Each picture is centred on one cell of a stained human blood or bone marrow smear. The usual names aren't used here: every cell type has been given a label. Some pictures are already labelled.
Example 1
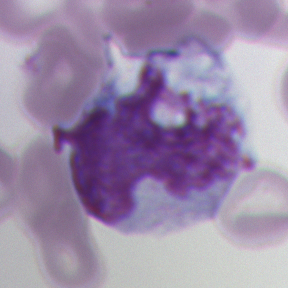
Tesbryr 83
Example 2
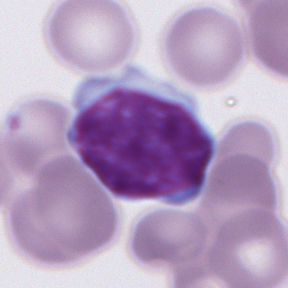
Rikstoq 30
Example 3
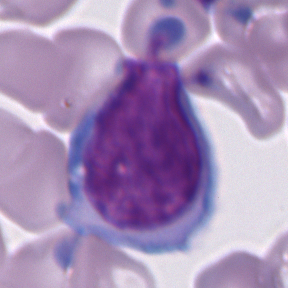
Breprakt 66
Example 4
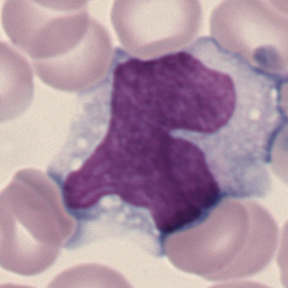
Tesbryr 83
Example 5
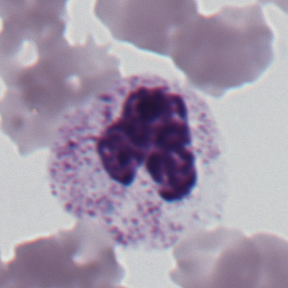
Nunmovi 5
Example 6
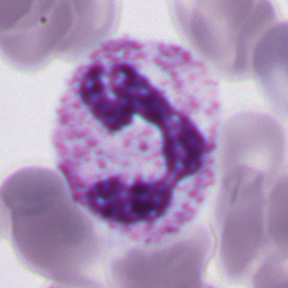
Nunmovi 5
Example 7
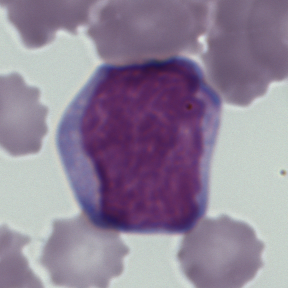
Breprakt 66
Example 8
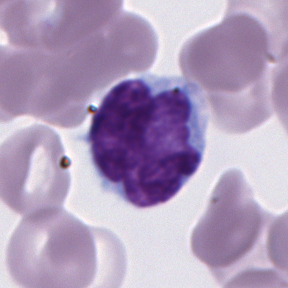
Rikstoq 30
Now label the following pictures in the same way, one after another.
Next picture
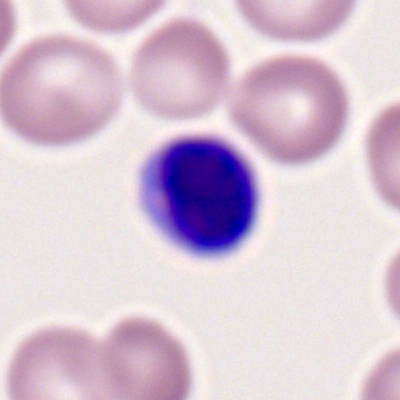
Rikstoq 30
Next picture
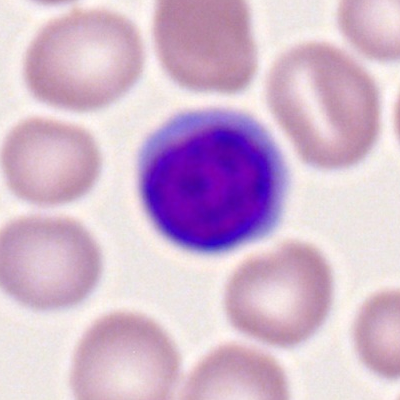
Rikstoq 30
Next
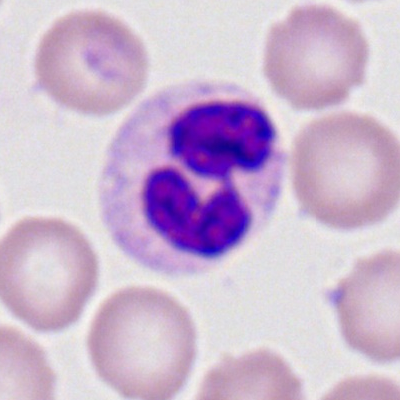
Nunmovi 5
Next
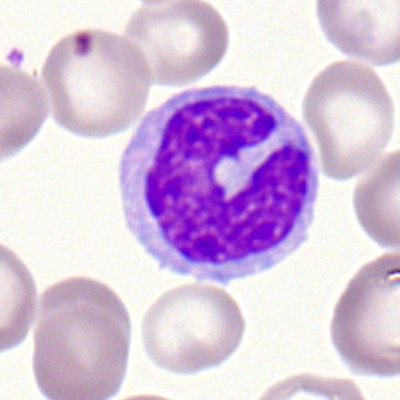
Tesbryr 83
